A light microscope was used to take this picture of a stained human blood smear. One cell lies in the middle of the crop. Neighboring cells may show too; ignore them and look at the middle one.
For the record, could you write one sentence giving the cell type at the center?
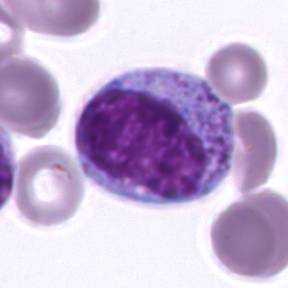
The cell in the exact centre of the crop is a metamyelocyte.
